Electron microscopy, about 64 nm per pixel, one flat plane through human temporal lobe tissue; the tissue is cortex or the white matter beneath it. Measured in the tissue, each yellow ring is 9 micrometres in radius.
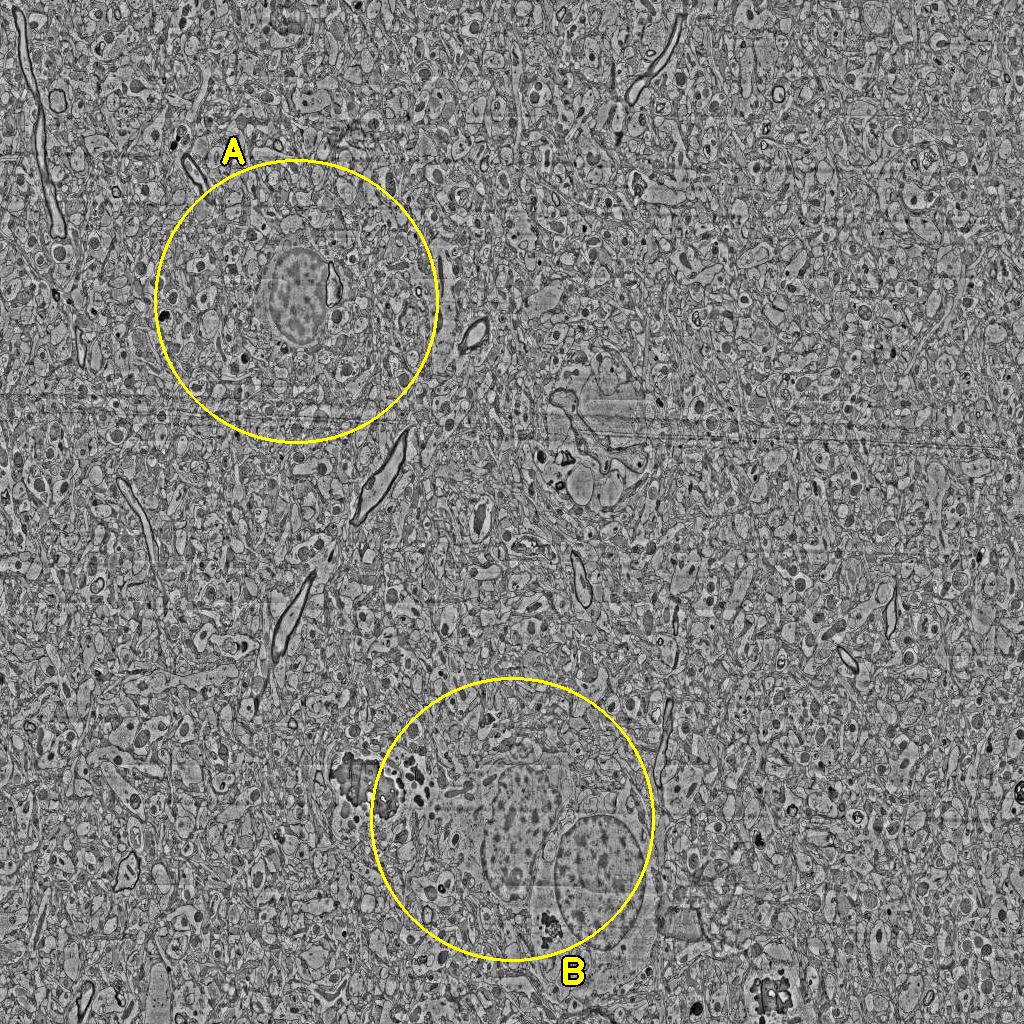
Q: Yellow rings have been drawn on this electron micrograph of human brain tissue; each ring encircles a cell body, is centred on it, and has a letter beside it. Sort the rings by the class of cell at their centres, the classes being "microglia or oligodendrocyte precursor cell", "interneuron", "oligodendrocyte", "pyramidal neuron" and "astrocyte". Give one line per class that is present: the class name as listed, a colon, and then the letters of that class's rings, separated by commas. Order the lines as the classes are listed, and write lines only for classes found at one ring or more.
oligodendrocyte: A
astrocyte: B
